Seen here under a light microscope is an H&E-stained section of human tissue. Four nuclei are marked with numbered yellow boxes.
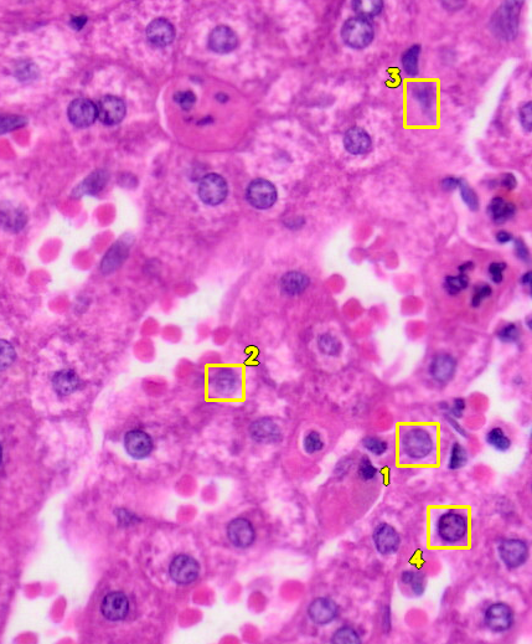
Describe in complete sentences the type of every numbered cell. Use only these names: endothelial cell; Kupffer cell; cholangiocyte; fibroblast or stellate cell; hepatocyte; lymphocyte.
Cells 1, 2 and 4 are hepatocytes. Cell 3 is an endothelial cell.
